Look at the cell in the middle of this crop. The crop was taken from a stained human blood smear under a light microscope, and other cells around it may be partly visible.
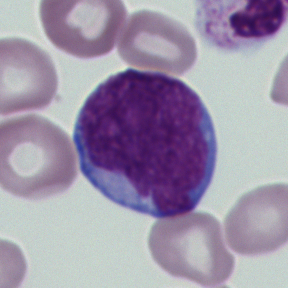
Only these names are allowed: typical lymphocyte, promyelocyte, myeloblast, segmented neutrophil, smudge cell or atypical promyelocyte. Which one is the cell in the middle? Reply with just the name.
myeloblast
